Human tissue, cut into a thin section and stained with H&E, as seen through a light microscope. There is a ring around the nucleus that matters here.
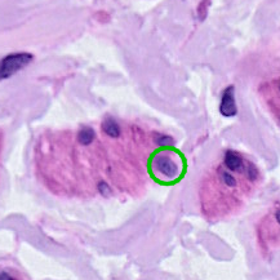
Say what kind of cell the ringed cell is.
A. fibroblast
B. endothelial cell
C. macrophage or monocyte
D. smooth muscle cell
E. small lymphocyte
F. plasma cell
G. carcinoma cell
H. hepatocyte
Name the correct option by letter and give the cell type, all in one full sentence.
Best answer: option D, with the ringed cell being a smooth muscle cell.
